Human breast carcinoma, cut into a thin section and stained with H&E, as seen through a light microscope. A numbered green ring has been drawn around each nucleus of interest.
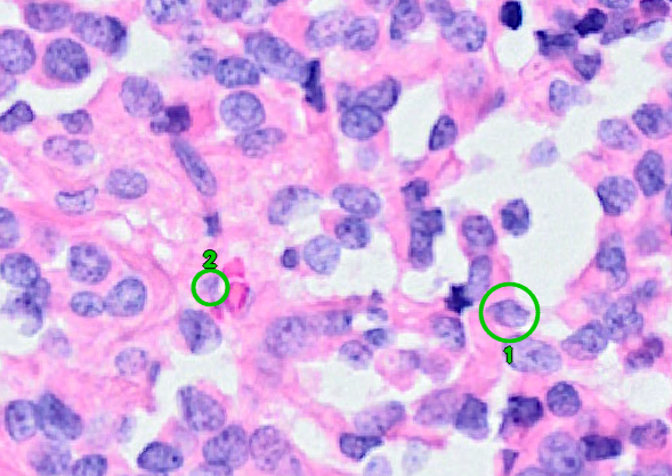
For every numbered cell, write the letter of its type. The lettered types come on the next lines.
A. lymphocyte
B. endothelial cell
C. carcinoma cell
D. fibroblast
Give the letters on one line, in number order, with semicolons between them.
C; B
